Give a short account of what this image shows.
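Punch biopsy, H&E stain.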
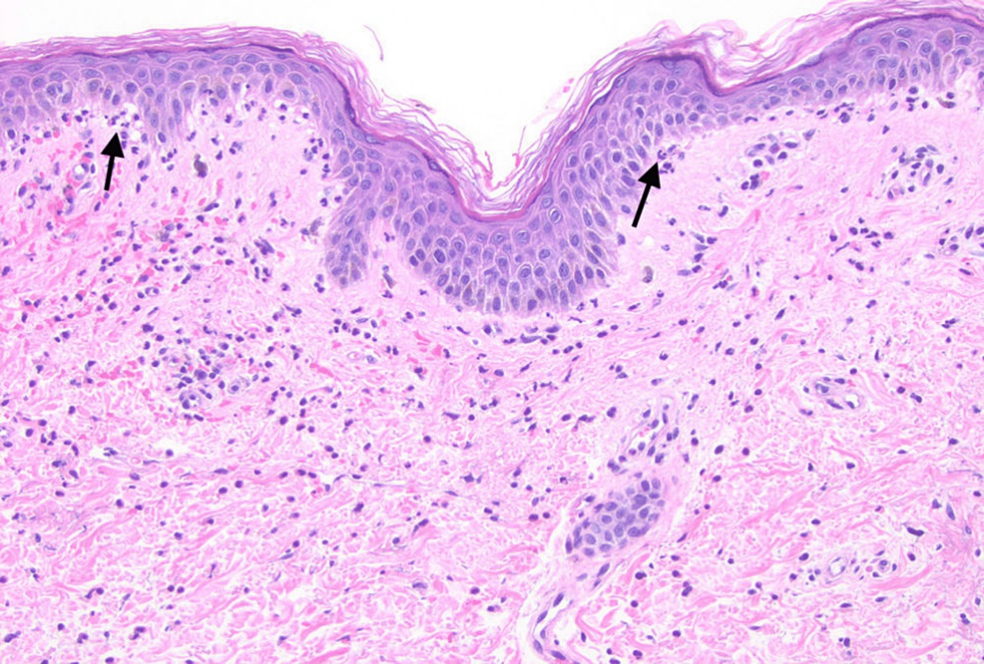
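This is skin with a stratified squamous epidermis over a pink collagenous dermis, showing an interface dermatitis along the junction between them. The epidermis is made of keratinocytes with round to oval purple nuclei and pale pink cytoplasm, topped by a thin layer of loose, wavy pink keratin. Along the basal layer there are small clear vacuoles, and scattered inflammatory cells with small dark nuclei sit at and just beneath the junction. The upper dermis looks pale and loosened, with scattered inflammatory cells and, on the left, extravasated red blood cells. Deeper in the dermis lie small vessels surrounded by small clusters of cells within thin collagen bundles.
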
